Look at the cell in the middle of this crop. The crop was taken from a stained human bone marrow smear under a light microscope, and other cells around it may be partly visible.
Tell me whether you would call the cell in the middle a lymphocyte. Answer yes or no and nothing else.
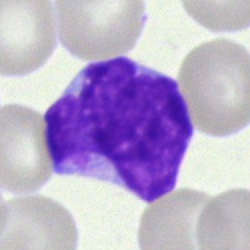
no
